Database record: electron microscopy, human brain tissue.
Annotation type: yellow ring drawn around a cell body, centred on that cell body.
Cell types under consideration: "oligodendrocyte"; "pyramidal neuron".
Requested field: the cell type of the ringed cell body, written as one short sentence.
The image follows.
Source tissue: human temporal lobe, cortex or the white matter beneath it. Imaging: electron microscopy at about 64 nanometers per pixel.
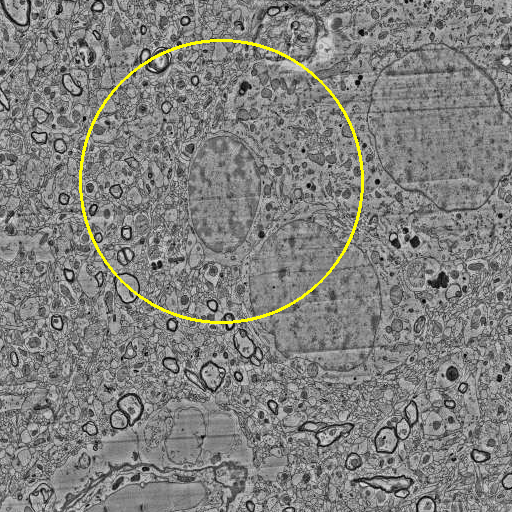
The ringed cell body represents an oligodendrocyte.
